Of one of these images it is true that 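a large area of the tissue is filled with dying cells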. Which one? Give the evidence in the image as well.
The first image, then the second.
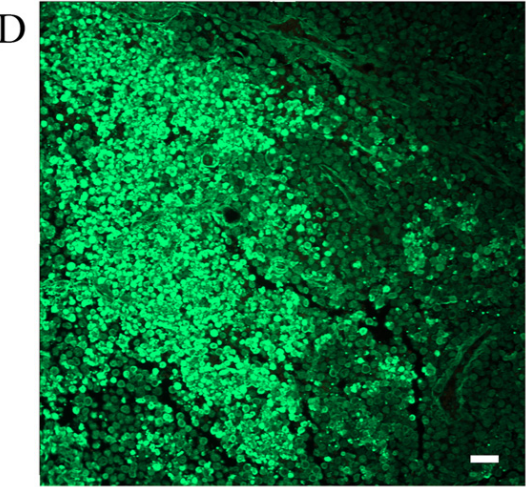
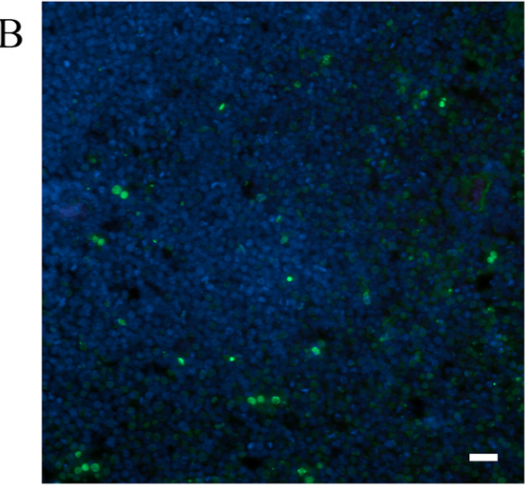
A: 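First image: nearly every nucleus over a broad region glows bright green. Second image: mostly blue nuclei with only a few scattered green ones.
Answer: the first image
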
